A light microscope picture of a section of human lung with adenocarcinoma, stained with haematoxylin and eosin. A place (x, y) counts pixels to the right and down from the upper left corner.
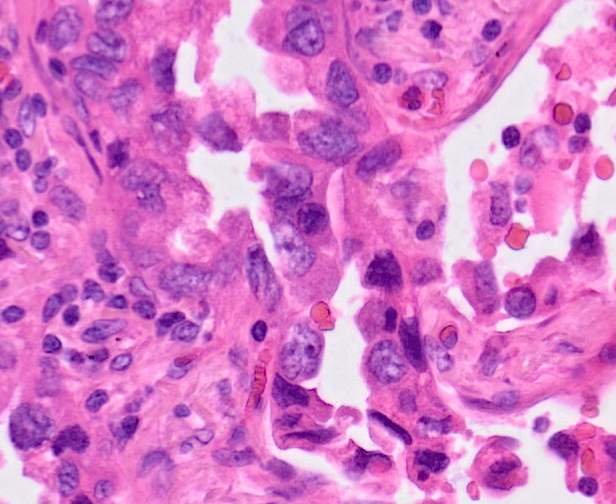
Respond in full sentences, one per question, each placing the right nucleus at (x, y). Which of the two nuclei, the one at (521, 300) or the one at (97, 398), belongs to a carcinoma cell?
The nucleus at (521, 300) belongs to a carcinoma cell, which distinguishes it from the other nucleus.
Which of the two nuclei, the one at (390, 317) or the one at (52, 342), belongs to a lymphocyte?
Of these two nuclei, it is the one at (52, 342) that belongs to a lymphocyte.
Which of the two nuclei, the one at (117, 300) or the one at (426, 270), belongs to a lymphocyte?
Only the nucleus at (117, 300), of the two, belongs to a lymphocyte.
